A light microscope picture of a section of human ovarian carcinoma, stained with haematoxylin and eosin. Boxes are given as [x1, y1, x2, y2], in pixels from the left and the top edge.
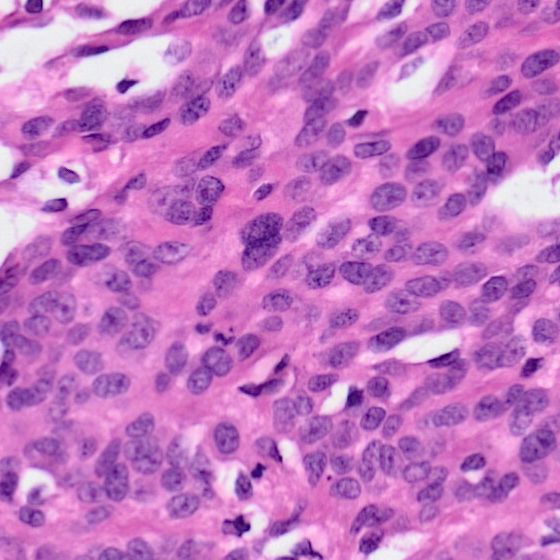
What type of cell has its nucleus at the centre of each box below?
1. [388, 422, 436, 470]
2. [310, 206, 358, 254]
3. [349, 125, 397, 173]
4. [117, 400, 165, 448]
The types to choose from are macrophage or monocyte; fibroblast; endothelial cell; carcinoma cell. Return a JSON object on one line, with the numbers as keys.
{"1": "carcinoma cell", "2": "carcinoma cell", "3": "macrophage or monocyte", "4": "carcinoma cell"}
